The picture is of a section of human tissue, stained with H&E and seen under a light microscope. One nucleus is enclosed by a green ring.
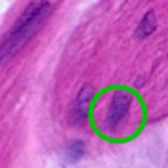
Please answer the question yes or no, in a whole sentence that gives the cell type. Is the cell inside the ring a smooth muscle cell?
Yes, the identification stands: the cell inside the ring is a smooth muscle cell.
